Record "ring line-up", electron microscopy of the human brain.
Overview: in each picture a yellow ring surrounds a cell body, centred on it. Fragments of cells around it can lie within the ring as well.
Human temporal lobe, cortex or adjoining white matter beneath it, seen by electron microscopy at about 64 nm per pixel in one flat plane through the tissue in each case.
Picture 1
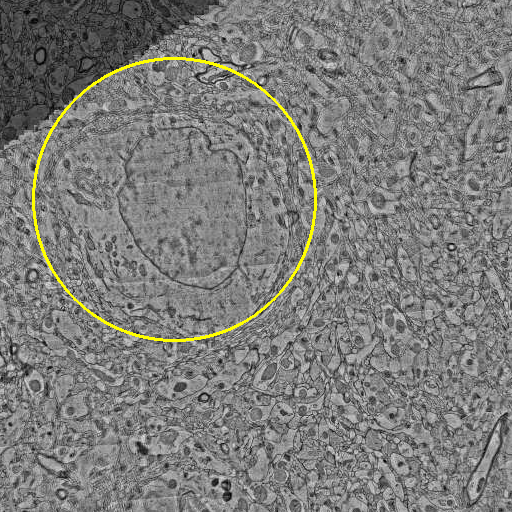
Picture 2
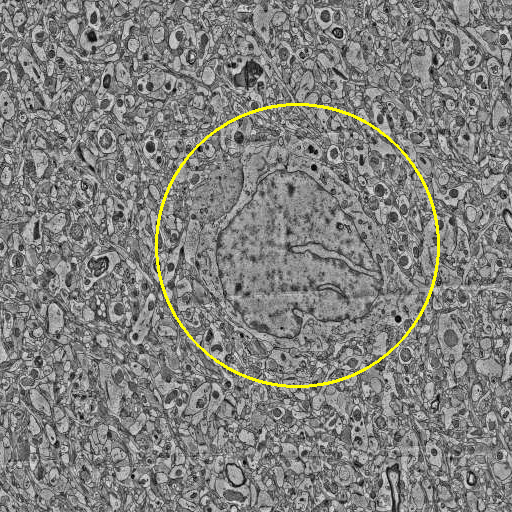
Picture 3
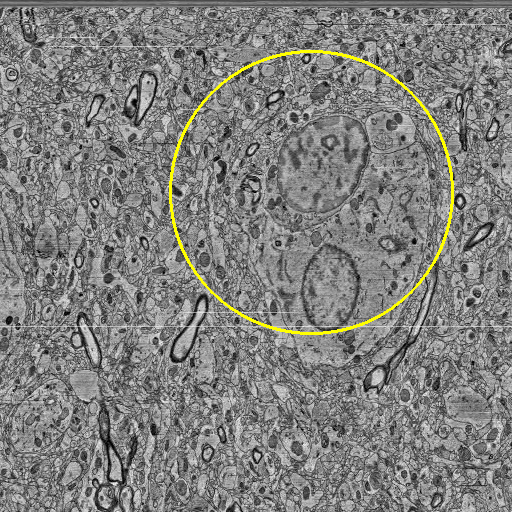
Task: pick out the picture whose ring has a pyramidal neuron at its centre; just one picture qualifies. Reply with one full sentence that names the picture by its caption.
Going by the cell at the ring's centre, the right choice is Picture 1.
